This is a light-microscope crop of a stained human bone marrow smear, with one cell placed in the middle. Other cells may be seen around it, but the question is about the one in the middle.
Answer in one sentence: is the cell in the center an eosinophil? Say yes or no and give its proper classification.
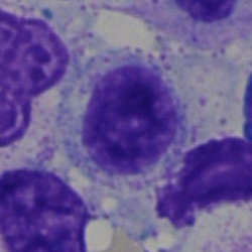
No, rather than an eosinophil, the central cell is a myelocyte.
